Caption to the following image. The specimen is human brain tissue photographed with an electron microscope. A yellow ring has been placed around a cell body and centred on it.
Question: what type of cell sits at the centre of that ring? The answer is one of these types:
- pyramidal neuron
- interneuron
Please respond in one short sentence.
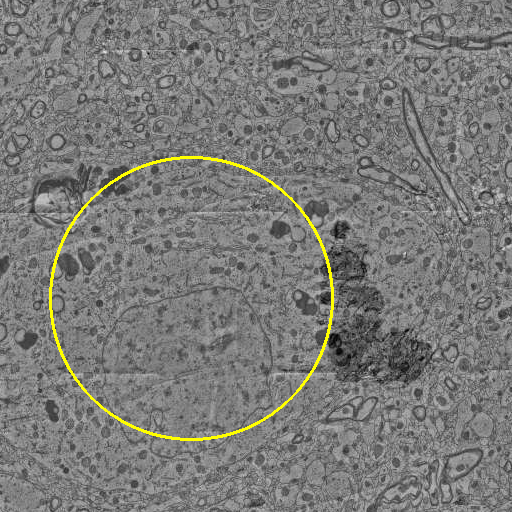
The ring surrounds the cell body of a pyramidal neuron.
